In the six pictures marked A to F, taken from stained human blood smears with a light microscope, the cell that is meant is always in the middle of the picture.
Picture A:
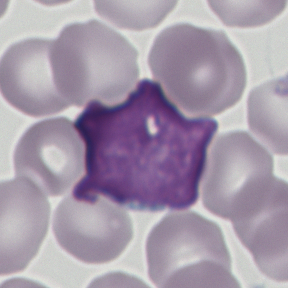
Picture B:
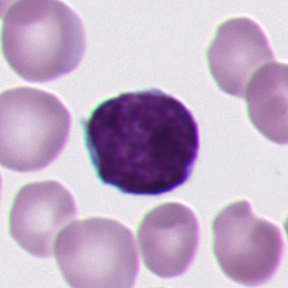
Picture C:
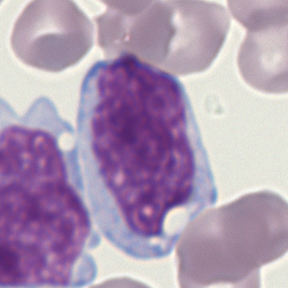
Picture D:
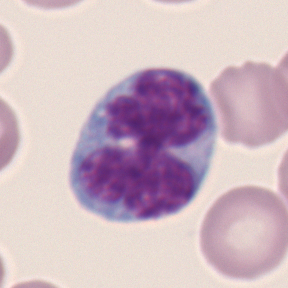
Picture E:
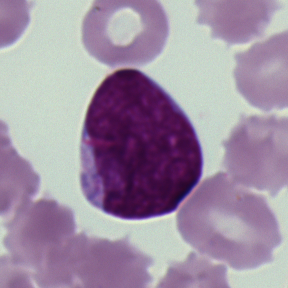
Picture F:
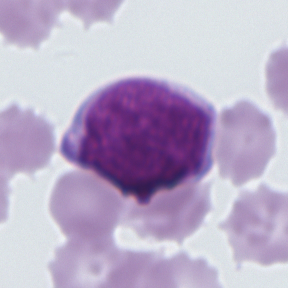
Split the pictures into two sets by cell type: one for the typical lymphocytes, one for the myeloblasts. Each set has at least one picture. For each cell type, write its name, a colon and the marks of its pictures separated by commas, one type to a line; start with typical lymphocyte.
typical lymphocyte: A, B
myeloblast: C, D, E, F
